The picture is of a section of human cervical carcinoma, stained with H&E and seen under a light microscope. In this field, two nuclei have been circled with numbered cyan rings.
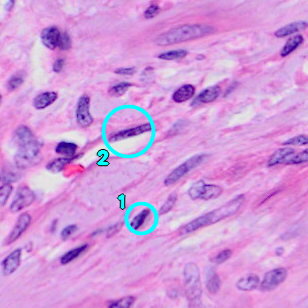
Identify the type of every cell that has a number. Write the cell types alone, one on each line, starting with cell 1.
lymphocyte
endothelial cell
